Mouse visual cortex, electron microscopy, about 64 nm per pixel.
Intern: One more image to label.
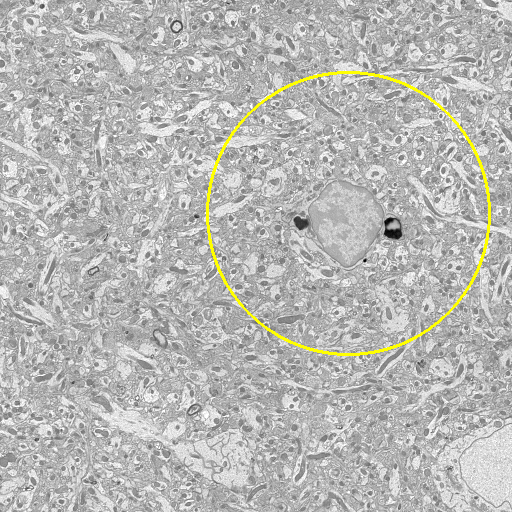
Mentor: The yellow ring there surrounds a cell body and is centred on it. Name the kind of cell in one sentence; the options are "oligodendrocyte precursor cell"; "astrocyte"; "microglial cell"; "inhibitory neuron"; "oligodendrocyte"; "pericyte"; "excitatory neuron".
The ring marks the cell body of a microglial cell.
